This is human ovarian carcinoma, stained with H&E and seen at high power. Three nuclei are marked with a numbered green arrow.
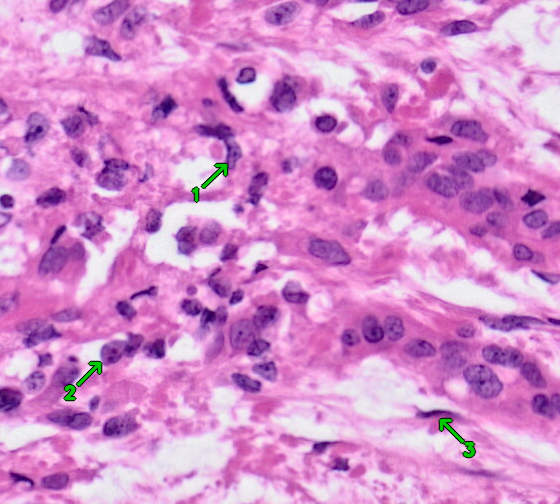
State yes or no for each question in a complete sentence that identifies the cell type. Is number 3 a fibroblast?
Yes, the cell distinguished by number 3 is a fibroblast.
